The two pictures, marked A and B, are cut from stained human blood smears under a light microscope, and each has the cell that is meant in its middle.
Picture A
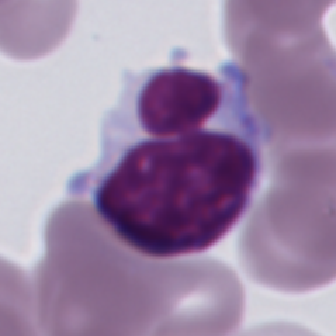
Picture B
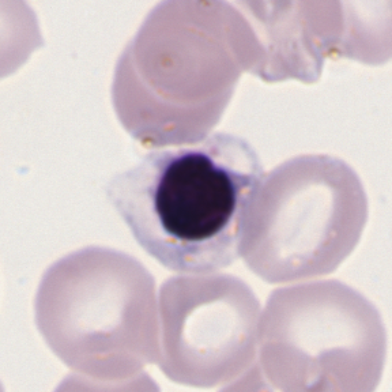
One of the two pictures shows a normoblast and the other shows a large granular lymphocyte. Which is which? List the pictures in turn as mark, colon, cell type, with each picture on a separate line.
A: large granular lymphocyte
B: normoblast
